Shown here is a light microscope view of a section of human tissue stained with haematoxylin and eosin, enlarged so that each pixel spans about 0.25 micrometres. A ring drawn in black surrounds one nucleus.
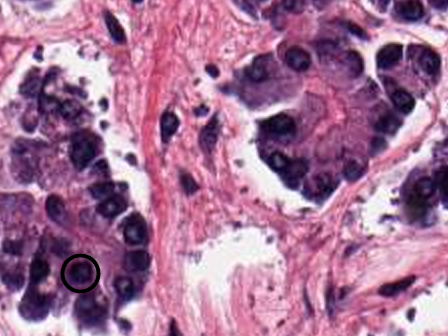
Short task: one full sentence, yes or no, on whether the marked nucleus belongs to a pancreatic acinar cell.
Yes, the marked nucleus sits in a pancreatic acinar cell.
